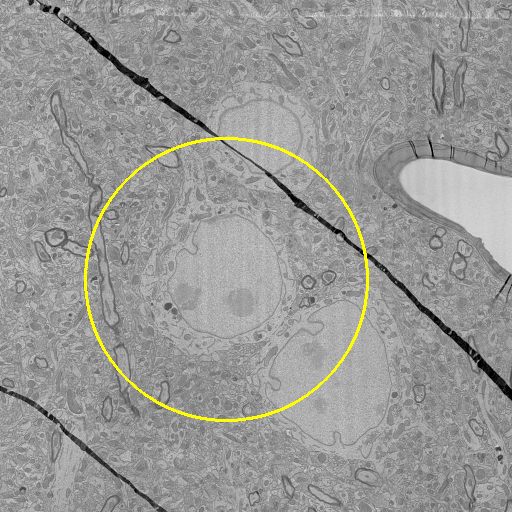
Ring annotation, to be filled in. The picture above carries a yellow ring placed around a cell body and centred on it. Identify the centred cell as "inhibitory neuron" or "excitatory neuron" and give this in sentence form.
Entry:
The cell in the middle of the ring is an excitatory neuron.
